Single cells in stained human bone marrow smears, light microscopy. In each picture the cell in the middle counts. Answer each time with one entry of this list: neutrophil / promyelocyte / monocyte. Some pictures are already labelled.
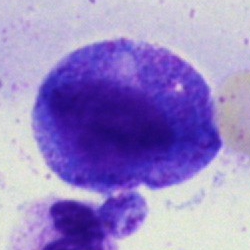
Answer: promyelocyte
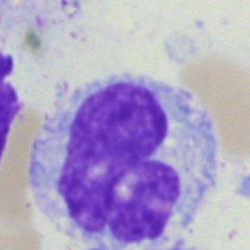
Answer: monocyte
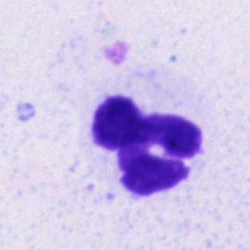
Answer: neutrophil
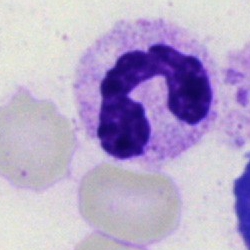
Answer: neutrophil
